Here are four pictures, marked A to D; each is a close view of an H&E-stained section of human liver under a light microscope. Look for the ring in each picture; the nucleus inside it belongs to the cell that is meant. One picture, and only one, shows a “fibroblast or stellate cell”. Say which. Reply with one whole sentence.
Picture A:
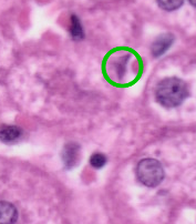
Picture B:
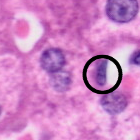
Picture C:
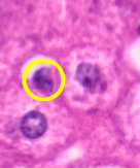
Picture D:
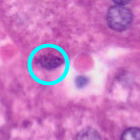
Picture D shows the “fibroblast or stellate cell”.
